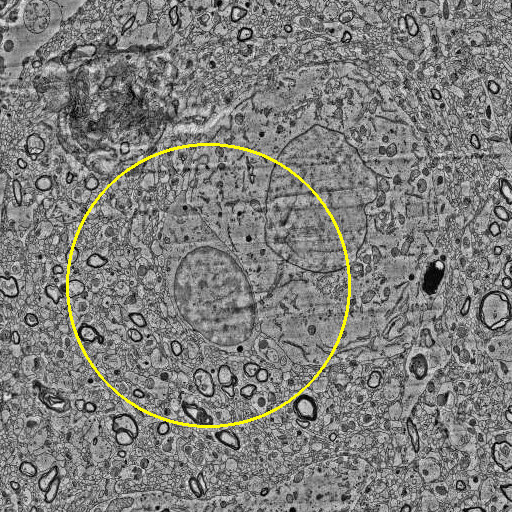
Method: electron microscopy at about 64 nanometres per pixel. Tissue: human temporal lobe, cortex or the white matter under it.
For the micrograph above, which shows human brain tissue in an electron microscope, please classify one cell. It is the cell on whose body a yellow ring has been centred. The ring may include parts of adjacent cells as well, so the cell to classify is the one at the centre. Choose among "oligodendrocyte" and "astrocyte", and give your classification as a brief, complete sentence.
I classify this cell as an oligodendrocyte.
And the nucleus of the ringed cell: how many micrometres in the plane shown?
Approximately 7 by 5 micrometers in this plane.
